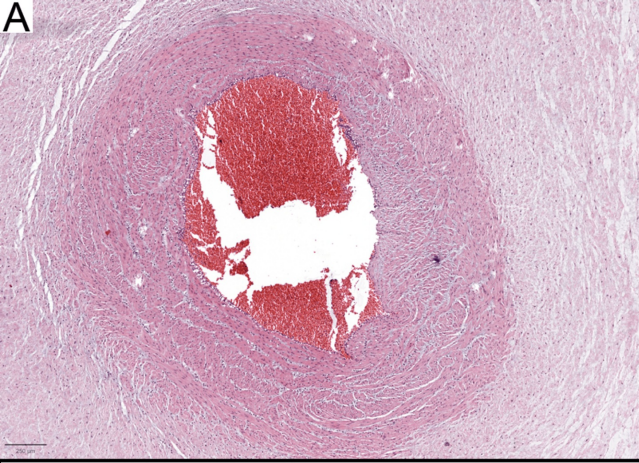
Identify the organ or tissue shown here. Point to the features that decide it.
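A large blood-filled vessel with a thick concentric muscular wall. The vessel is embedded in pale, loose, gelatinous-looking stroma. That points to this answer: umbilical cord.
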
